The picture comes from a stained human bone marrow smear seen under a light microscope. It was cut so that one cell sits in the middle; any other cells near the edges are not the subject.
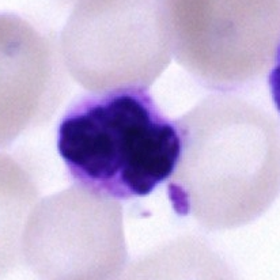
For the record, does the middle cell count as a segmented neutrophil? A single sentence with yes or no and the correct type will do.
Yes, the central cell is to be recorded as a segmented neutrophil.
